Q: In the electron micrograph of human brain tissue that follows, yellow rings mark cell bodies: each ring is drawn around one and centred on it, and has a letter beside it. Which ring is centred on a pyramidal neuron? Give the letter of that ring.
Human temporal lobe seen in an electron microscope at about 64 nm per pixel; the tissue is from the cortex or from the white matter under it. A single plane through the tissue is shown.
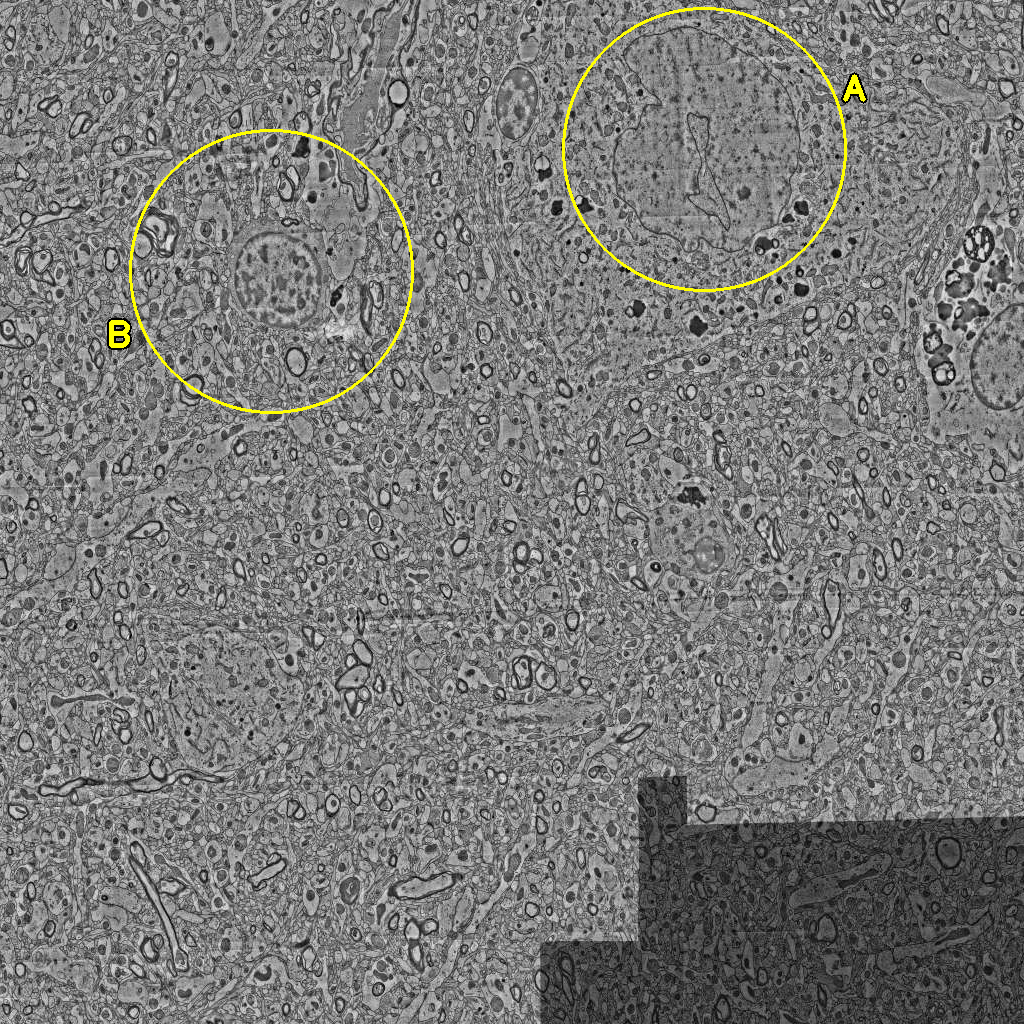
A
